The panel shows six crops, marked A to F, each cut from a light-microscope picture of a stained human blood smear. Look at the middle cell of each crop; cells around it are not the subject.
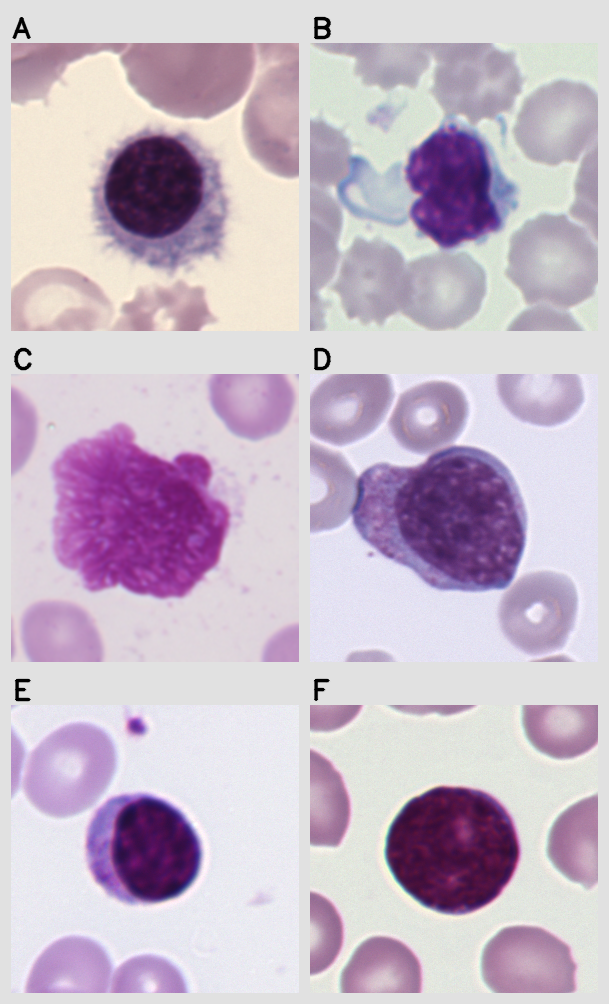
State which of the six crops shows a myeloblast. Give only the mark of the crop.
F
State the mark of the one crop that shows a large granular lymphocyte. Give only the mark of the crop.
E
